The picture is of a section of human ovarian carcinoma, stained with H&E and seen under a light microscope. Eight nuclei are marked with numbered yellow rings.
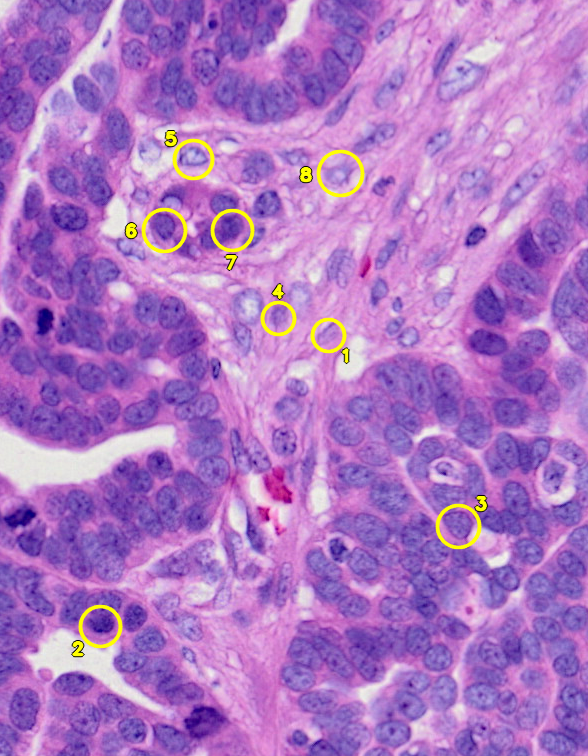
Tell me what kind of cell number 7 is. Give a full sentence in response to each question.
To a carcinoma cell belongs the nucleus marked 7.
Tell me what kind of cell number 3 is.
The cell identified by number 3 is a carcinoma cell.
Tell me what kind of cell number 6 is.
Within this field of view, the cell labelled 6 is a carcinoma cell.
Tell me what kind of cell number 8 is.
In the marked set, the cell given number 8 is a fibroblast.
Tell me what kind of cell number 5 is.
Cell 5, as marked in the section, is a fibroblast.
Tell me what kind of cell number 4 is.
The mark numbered 4 indicates the nucleus of a fibroblast.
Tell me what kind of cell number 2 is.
The cell that carries the label 2 is a carcinoma cell.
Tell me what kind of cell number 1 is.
The cell referred to as 1 is a fibroblast.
